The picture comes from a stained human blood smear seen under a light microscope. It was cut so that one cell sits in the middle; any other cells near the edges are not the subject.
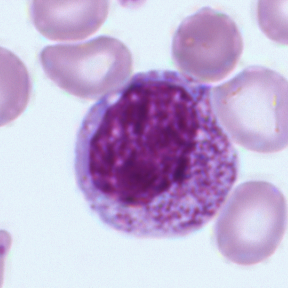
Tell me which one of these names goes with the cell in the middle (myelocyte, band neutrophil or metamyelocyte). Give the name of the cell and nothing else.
myelocyte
